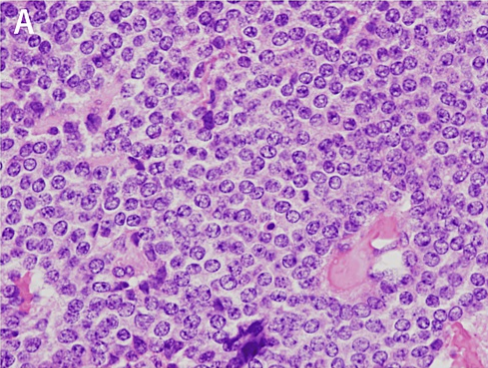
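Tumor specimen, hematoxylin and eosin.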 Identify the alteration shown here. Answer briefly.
high nuclear-cytoplasmic ratio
